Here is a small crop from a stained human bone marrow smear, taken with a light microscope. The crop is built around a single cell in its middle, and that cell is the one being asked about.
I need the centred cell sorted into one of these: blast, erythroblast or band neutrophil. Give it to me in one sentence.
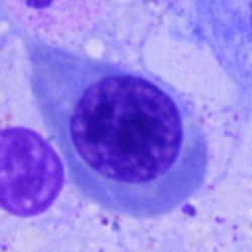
Among the cells in view, the one in the middle is an erythroblast.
